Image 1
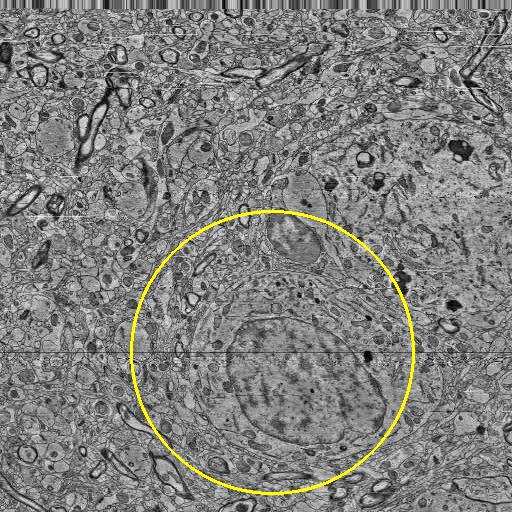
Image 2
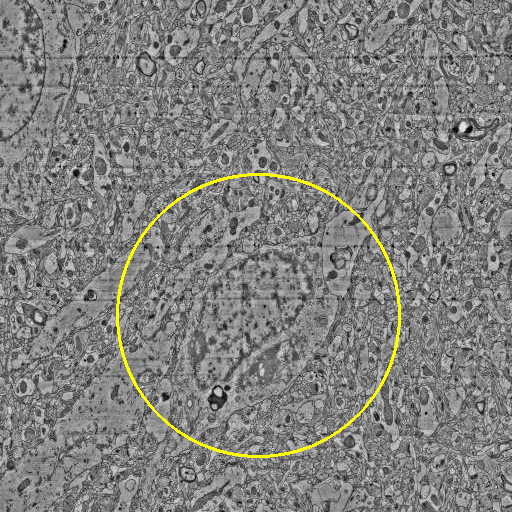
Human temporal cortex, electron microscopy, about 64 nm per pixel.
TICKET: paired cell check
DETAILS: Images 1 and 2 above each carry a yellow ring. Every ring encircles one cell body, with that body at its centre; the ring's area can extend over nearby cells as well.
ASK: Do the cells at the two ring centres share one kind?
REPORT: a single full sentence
Yes, the ring-centre cells of Images 1 and 2 belong to a single kind.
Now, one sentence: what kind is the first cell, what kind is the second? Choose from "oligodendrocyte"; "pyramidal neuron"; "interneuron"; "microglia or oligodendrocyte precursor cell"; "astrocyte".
Each of the two rings is centred on an interneuron.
